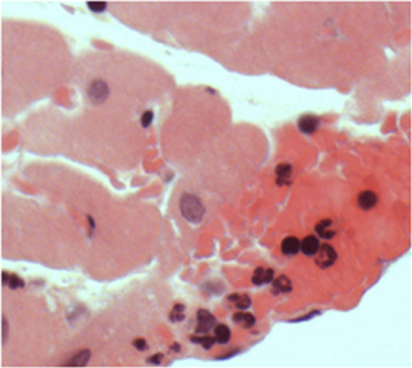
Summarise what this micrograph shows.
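This is heart muscle with a small cluster of neutrophils at the edge of the section. The cardiac muscle fibres are cut across or obliquely and stain pink, with a few pale oval nuclei within them. At the lower right, in a more intensely red area, lies a group of small cells with dark, compact, lobed or segmented nuclei. These cells are far smaller than the muscle fibres and crowd along the margin of the tissue. Clear clefts separate some of the muscle bundles.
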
